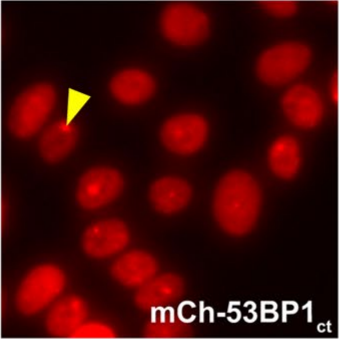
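Most nuclei are filled with a fairly even red glow of differing brightness, and many contain one or a few small, sharply bounded brighter dots. An arrowhead marks one such bright dot near the edge of a nucleus.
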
